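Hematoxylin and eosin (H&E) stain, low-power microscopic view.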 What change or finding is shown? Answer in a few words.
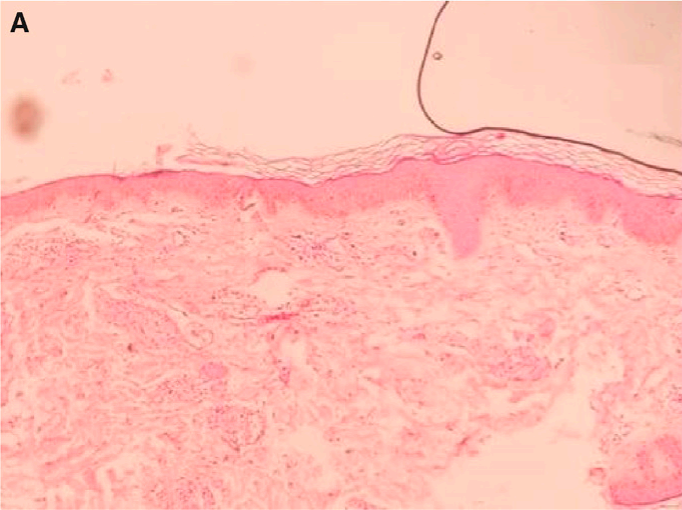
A: Epidermal atrophy.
